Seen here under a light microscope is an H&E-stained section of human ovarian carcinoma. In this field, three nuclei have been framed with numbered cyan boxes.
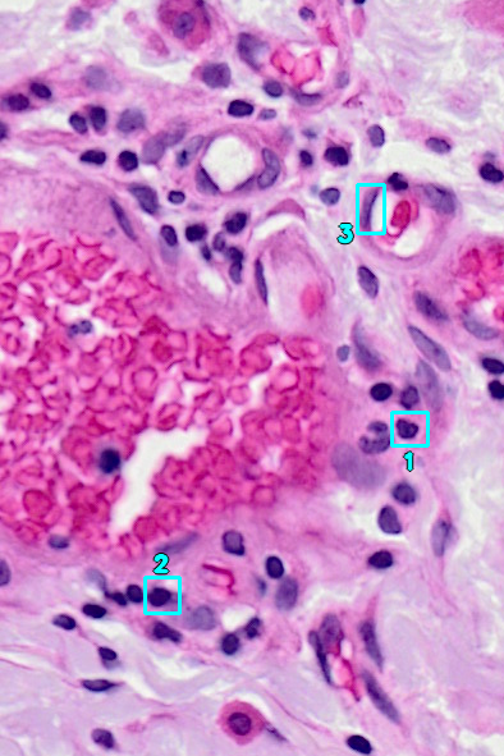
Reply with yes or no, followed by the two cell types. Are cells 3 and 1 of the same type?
No, cell 3 is an endothelial cell and cell 1 is a lymphocyte.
